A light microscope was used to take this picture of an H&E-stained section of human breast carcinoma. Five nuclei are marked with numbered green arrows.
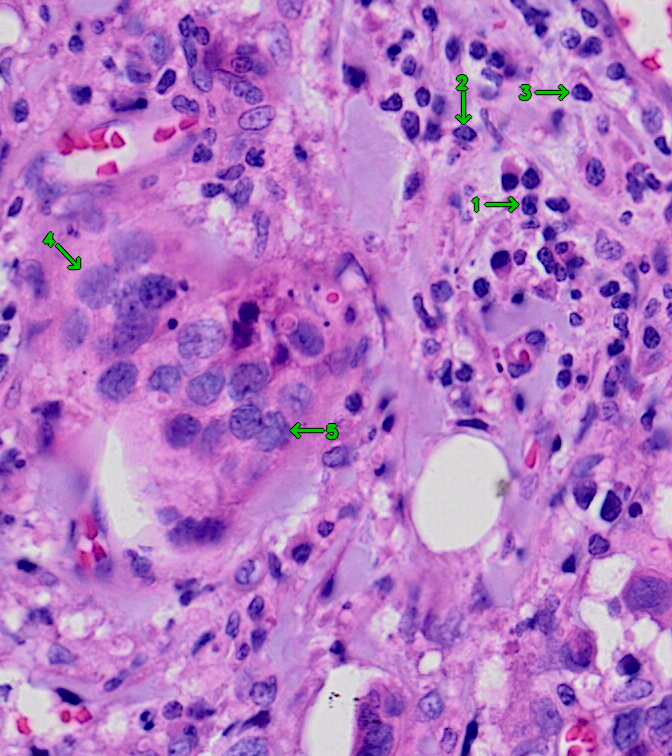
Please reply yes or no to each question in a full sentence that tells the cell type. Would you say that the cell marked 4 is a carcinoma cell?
Yes, within this section, cell number 4 is a carcinoma cell.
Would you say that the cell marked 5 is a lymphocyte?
No, as for cell 5, it is a carcinoma cell and not a lymphocyte.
